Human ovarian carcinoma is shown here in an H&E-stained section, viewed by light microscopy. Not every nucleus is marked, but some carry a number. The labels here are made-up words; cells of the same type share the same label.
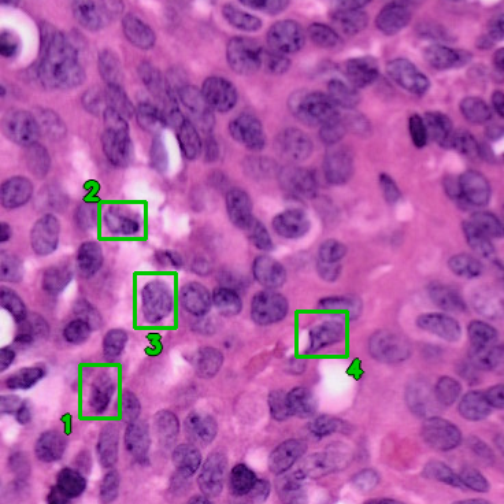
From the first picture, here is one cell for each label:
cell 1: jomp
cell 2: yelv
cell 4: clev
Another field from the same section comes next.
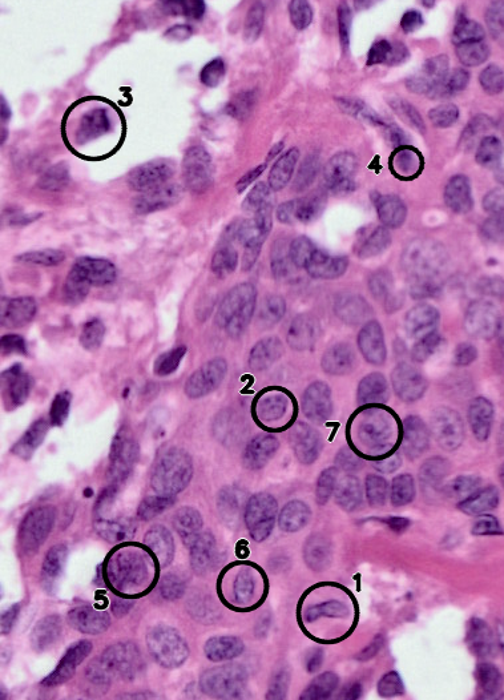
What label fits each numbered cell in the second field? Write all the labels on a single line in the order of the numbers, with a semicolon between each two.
yelv; yelv; yelv; clev; jomp; clev; jomp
